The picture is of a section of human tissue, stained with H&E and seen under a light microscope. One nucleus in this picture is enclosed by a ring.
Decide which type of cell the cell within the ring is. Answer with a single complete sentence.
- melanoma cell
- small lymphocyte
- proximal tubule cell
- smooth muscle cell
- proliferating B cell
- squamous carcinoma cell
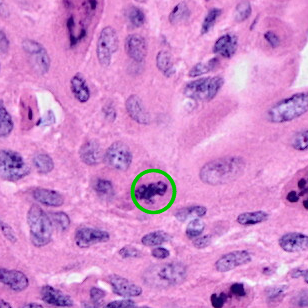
The cell meant here is a squamous carcinoma cell.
